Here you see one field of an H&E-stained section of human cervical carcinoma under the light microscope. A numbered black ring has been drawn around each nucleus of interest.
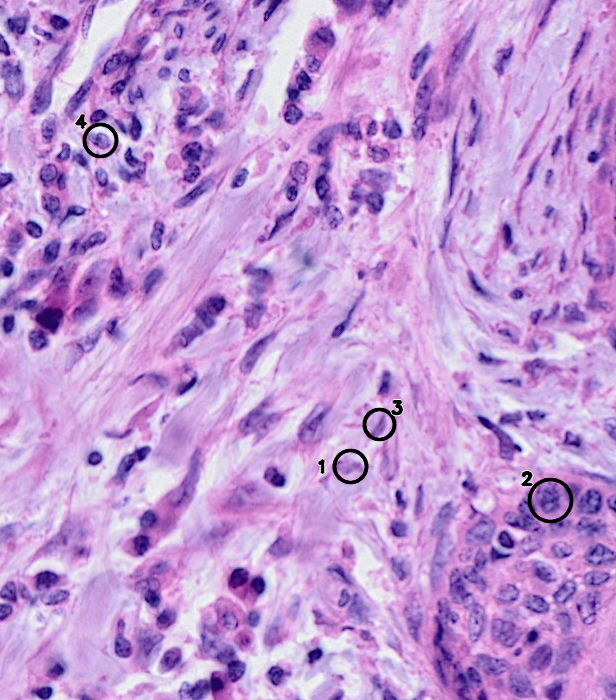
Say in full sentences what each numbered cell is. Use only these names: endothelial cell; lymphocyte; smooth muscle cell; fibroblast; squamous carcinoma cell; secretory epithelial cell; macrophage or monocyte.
Cell 1 is a fibroblast, cell 2 is a squamous carcinoma cell, cell 3 is a fibroblast and cell 4 is a lymphocyte.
